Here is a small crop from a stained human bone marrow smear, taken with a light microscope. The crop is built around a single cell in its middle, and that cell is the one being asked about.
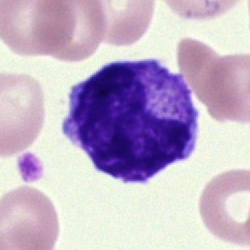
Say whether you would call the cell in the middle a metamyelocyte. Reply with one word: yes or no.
yes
